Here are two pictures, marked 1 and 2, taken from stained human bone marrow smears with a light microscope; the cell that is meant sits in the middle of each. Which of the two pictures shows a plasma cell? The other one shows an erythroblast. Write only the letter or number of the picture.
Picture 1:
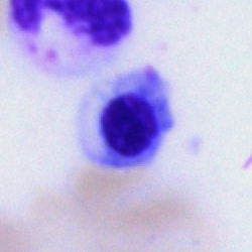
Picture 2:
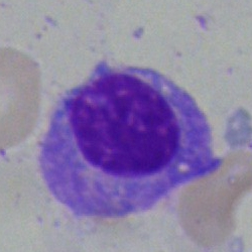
2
